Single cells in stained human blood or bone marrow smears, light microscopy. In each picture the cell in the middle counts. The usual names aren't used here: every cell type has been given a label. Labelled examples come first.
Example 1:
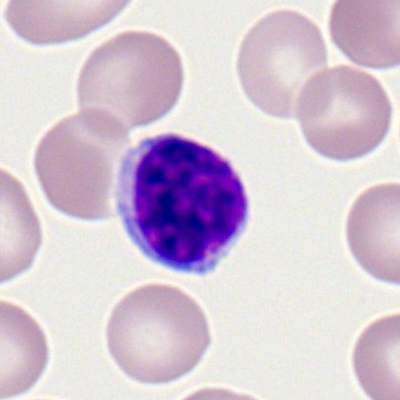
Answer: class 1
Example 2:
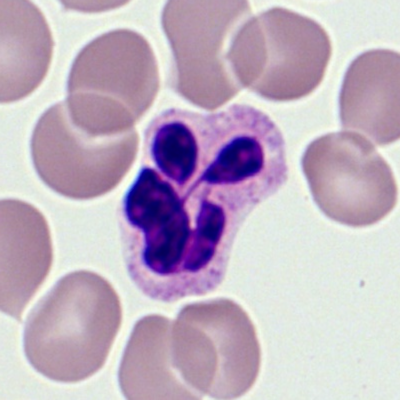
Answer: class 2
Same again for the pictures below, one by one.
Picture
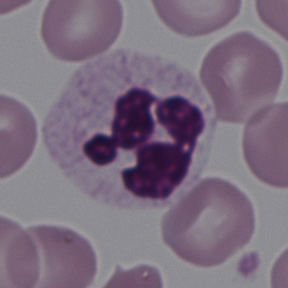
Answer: class 2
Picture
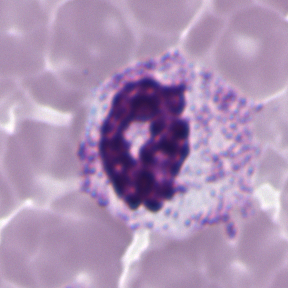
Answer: class 2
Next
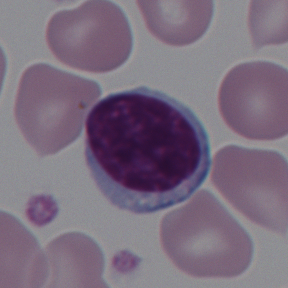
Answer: class 1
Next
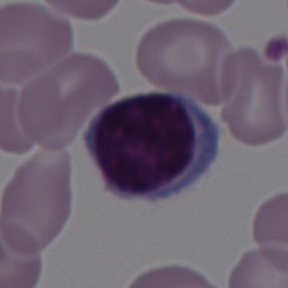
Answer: class 1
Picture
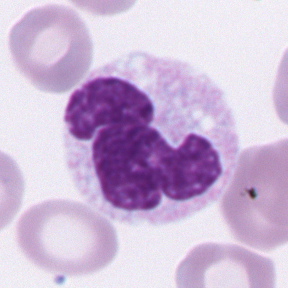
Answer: class 2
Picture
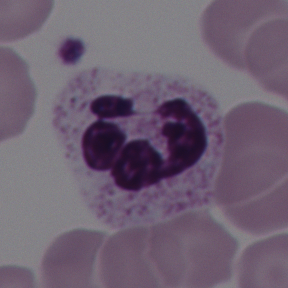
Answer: class 2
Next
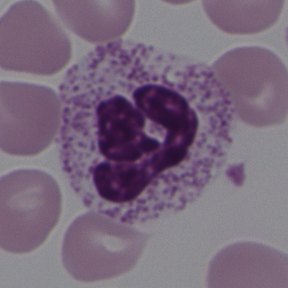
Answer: class 2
